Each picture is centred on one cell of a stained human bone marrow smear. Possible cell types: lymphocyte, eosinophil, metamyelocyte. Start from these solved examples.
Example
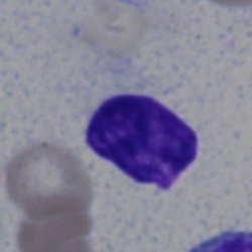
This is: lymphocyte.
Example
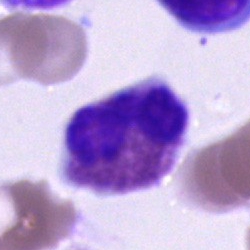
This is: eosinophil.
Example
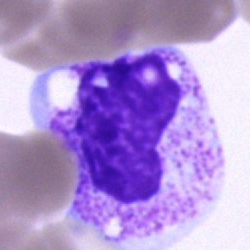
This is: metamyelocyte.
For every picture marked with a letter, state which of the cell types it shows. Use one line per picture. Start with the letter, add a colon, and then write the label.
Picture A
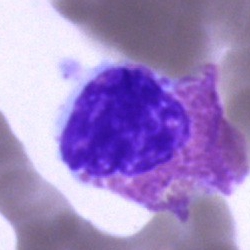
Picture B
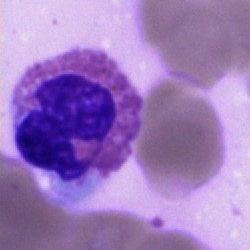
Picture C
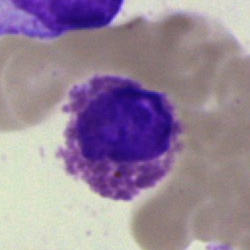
A: eosinophil.
B: eosinophil.
C: eosinophil.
